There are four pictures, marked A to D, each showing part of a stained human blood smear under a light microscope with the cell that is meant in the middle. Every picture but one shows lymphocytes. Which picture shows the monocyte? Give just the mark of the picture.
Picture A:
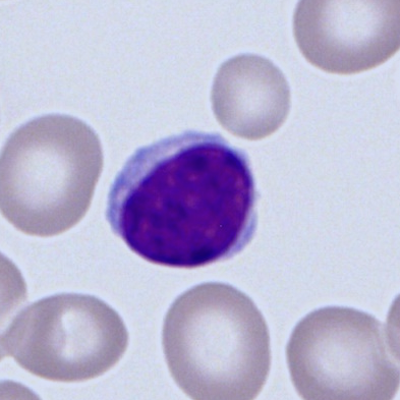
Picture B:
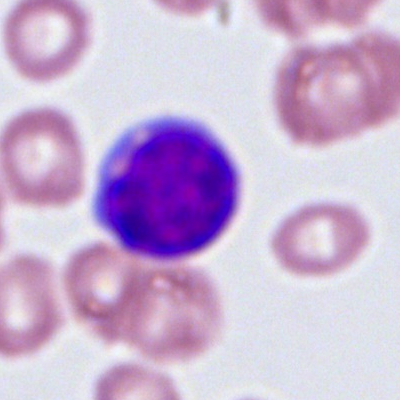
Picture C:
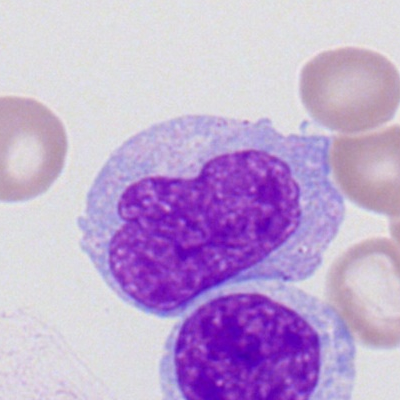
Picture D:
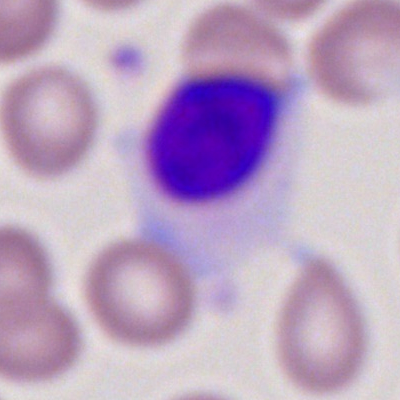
C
